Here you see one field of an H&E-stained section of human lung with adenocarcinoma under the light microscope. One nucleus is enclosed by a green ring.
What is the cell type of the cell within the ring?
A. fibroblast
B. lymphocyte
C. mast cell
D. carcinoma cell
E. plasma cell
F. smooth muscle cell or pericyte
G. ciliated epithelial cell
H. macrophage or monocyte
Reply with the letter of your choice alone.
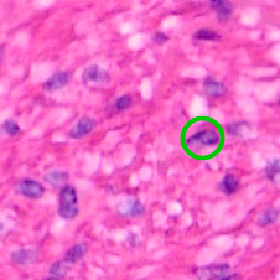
C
